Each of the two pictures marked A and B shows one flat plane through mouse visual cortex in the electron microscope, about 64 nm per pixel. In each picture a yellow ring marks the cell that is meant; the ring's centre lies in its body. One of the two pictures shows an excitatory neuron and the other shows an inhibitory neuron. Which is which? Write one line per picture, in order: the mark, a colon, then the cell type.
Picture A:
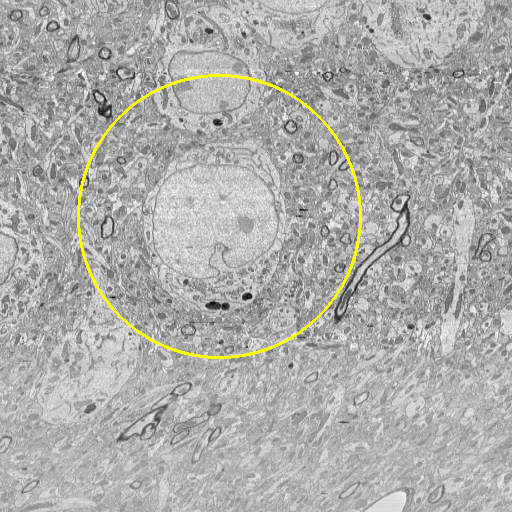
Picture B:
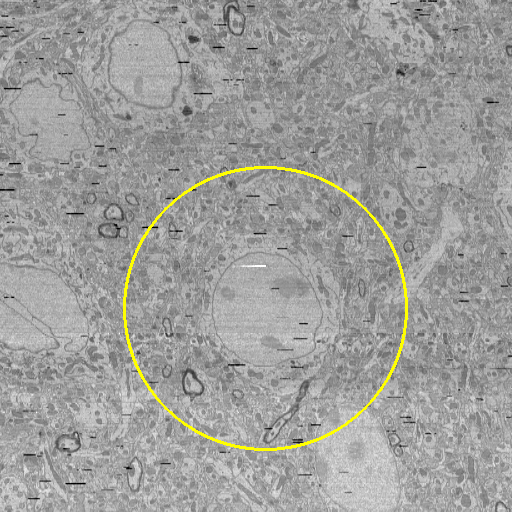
A: inhibitory neuron
B: excitatory neuron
